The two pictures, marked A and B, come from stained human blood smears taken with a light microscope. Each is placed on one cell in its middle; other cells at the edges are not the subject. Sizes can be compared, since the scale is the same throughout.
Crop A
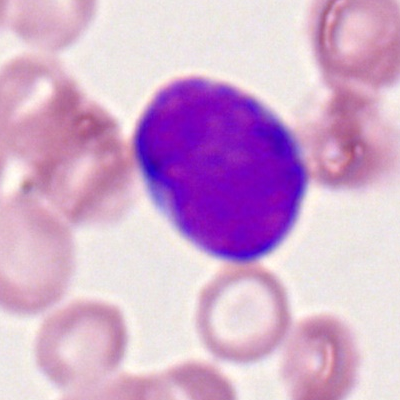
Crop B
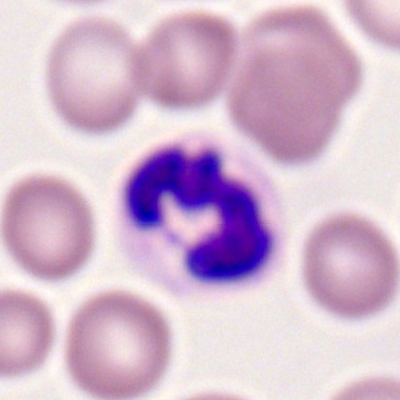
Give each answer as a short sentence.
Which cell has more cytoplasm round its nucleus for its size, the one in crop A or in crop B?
Of the two, the nucleus in crop B leaves more room for cytoplasm.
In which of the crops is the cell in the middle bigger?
Larger is the cell in crop A, at roughly 1.5 times the area of the other.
